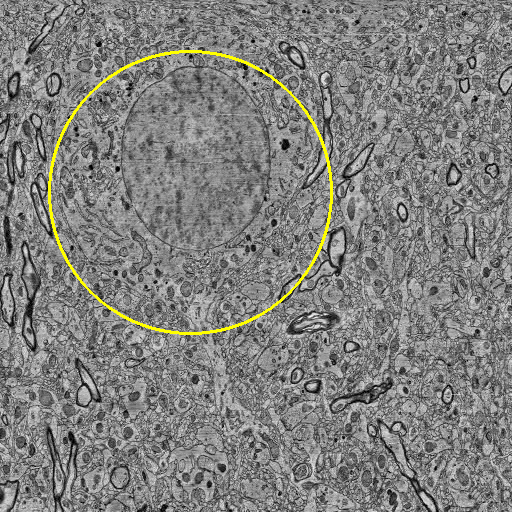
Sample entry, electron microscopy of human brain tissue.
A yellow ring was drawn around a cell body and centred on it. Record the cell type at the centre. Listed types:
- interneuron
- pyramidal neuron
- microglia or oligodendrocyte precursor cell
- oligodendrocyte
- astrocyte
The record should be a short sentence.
The cell at the ring's centre is an interneuron.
